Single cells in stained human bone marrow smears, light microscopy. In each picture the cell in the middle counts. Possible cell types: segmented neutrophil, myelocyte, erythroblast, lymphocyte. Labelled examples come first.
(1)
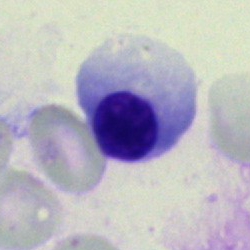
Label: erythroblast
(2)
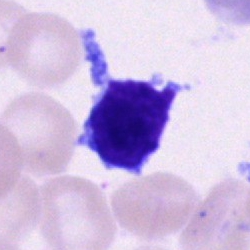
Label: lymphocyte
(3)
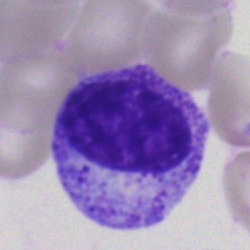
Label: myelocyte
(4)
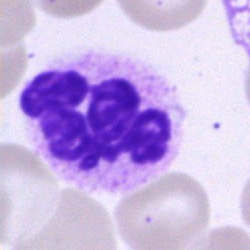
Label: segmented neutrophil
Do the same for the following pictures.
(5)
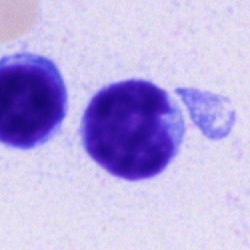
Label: lymphocyte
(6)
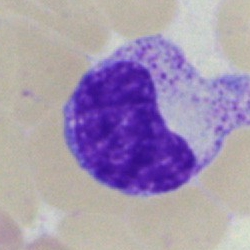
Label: myelocyte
